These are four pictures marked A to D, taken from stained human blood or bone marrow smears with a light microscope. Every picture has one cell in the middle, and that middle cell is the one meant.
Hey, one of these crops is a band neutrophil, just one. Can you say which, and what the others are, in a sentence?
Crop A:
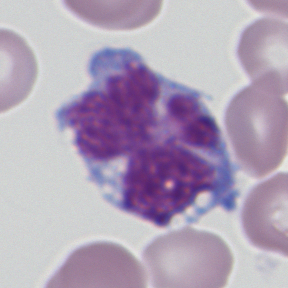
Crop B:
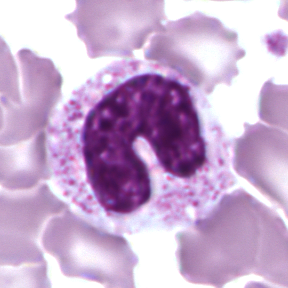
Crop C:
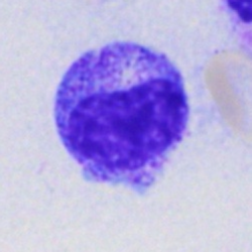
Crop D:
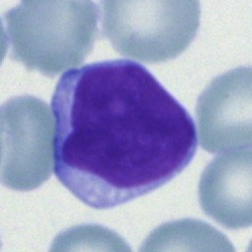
In short, crop B is a band neutrophil, and crop A is a monocyte, crop C is a myelocyte and crop D is a lymphocyte.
